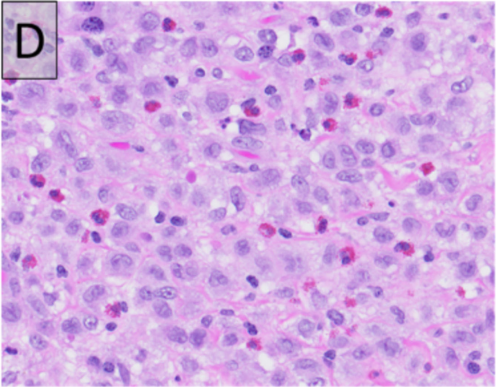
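Large pale cells with oval, folded nuclei and ample pale cytoplasm form a sheet across the field. Scattered among them are many smaller cells packed with bright red-pink granules, some with dark bilobed nuclei. These granular cells are eosinophils, admixed with the pale cells.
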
